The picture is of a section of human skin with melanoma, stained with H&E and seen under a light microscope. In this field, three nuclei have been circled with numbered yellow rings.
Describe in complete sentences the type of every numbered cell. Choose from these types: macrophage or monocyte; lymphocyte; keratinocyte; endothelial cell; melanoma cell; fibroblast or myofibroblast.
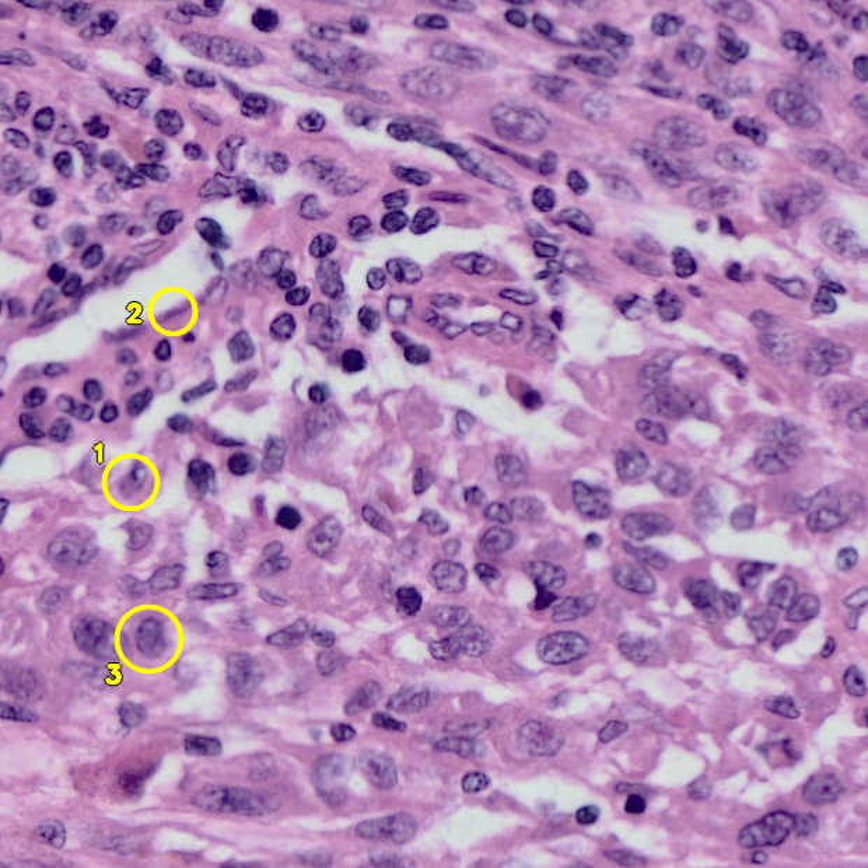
Cell 1 is a macrophage or monocyte, cell 2 is an endothelial cell and cell 3 is a melanoma cell.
